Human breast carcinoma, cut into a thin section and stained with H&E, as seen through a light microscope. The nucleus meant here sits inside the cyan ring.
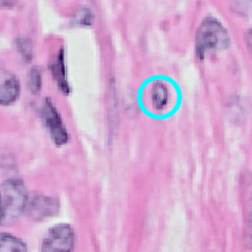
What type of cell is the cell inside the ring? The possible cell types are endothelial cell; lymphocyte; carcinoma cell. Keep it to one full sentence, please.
Within the stained tissue, the cell inside the ring is an endothelial cell.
